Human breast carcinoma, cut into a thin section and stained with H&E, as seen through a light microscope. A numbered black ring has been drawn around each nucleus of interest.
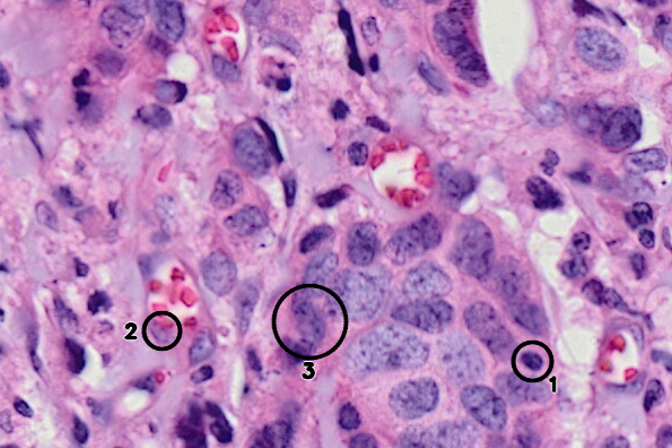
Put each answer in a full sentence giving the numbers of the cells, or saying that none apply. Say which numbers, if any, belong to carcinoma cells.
Cell 3 is a carcinoma cell, and that holds for no other numbered cell.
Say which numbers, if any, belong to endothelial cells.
Only one of the numbered nuclei, number 2, belongs to an endothelial cell.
